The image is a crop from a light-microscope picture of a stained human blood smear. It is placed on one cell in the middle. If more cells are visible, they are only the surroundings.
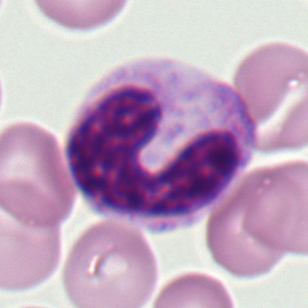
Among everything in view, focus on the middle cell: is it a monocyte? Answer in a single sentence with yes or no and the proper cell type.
No, the central cell is classed as a band neutrophil, not a monocyte.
